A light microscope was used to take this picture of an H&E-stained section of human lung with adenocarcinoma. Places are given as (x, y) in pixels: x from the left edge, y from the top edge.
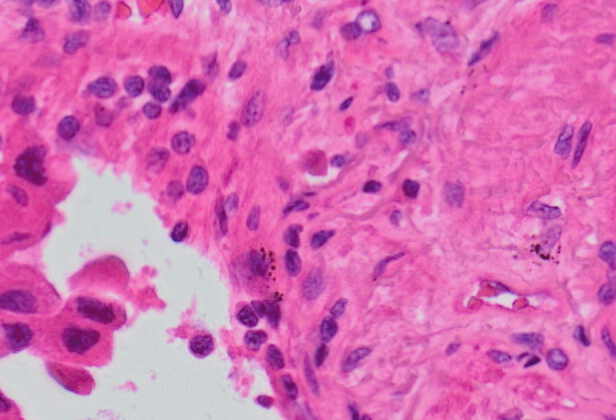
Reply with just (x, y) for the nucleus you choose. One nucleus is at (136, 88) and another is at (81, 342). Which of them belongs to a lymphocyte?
(136, 88)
